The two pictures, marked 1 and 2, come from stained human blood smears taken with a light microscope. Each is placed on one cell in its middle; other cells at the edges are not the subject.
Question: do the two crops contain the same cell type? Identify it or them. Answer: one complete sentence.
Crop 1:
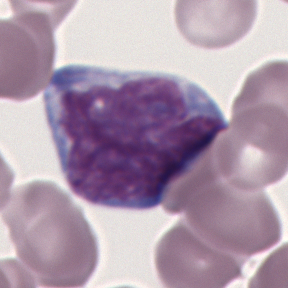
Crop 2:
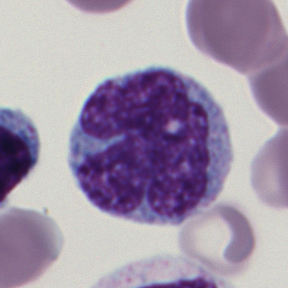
No, the cell in crop 1 is a myeloblast, and the cell in crop 2 is a monocyte.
